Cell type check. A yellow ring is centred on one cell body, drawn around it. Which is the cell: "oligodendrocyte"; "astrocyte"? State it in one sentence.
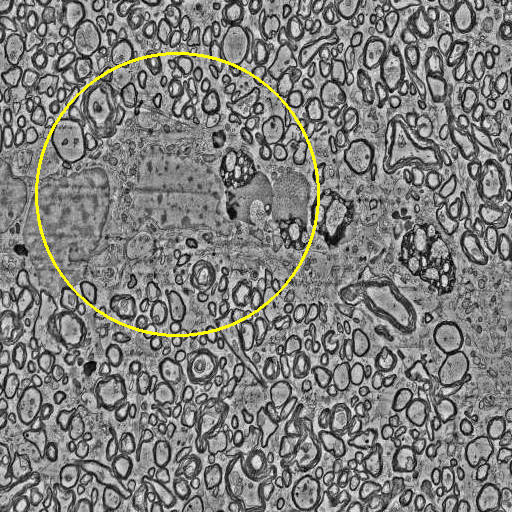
The cell body at the ring's centre belongs to an astrocyte.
